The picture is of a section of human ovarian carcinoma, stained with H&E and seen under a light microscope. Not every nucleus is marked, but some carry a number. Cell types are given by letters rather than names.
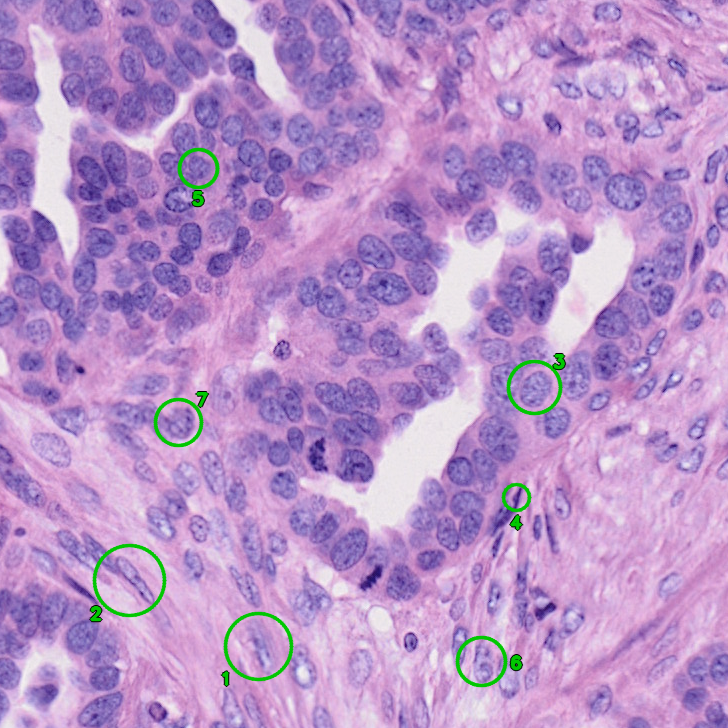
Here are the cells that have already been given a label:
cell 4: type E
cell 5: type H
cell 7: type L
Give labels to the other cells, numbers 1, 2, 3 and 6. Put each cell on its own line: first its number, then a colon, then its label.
1: type E
2: type E
3: type H
6: type E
